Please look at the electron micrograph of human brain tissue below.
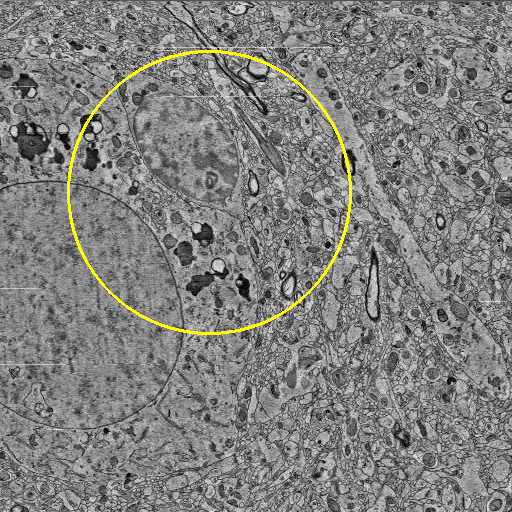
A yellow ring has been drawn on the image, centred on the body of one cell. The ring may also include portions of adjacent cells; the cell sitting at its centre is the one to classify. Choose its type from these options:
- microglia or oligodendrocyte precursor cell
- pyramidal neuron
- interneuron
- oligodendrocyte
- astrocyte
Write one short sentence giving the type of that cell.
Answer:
The cell in the middle of the ring is an oligodendrocyte.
